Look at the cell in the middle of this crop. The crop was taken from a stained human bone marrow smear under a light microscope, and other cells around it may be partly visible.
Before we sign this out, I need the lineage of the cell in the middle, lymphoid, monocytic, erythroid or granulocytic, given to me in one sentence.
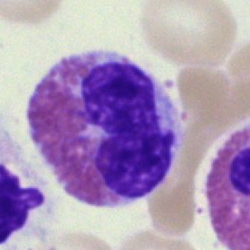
The lineage to which the central cell belongs is the granulocytic lineage.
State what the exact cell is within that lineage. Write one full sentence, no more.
Framed in the middle of the crop is an eosinophil.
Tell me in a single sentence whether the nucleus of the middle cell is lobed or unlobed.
The nucleus is segmented, with two or more lobes present.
